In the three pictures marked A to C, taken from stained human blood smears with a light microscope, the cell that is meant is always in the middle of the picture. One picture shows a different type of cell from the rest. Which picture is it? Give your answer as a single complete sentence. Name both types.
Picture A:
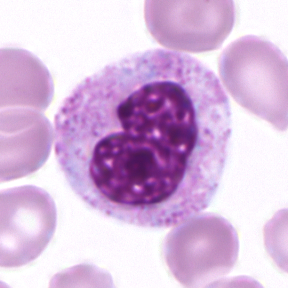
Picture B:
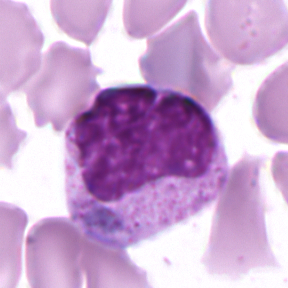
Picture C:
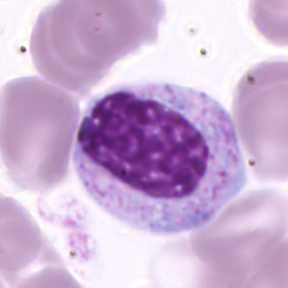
The others show band neutrophils, but picture C shows a metamyelocyte.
